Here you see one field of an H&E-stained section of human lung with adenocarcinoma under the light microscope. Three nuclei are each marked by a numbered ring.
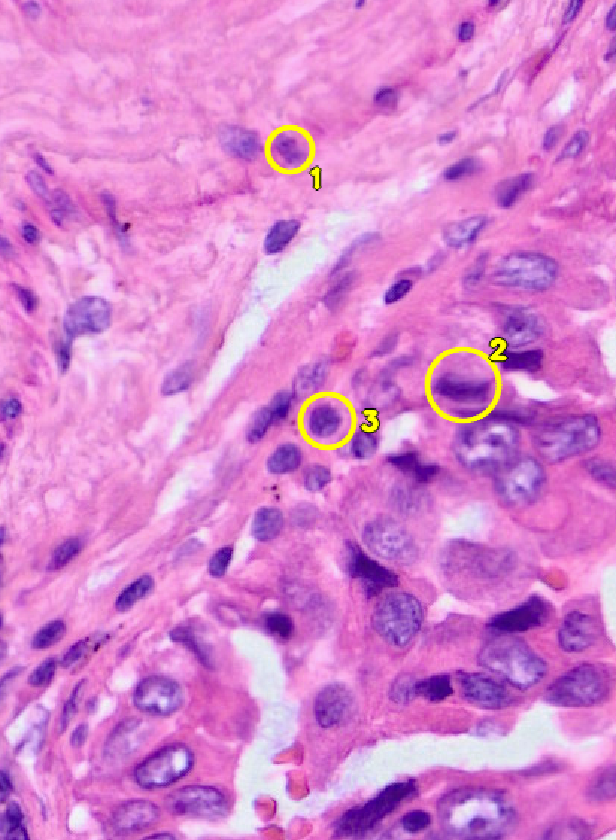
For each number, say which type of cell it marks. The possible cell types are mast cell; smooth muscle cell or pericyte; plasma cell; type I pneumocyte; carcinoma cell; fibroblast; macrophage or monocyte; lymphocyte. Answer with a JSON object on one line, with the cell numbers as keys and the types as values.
{"1": "smooth muscle cell or pericyte", "2": "carcinoma cell", "3": "lymphocyte"}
